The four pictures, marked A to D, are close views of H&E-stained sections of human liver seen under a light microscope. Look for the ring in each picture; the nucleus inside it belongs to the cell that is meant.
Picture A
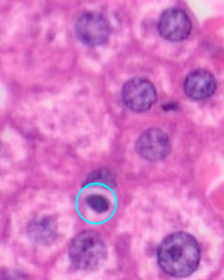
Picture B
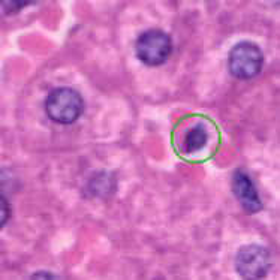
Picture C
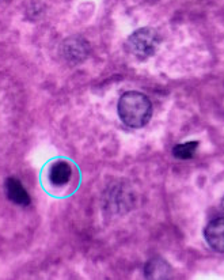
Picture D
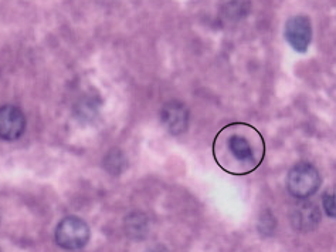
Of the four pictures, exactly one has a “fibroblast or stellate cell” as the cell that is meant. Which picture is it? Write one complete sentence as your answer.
The picture with the “fibroblast or stellate cell” is D.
